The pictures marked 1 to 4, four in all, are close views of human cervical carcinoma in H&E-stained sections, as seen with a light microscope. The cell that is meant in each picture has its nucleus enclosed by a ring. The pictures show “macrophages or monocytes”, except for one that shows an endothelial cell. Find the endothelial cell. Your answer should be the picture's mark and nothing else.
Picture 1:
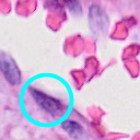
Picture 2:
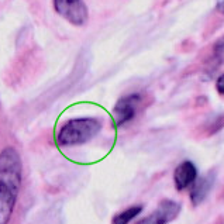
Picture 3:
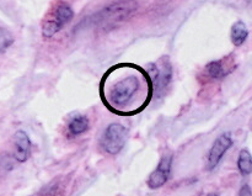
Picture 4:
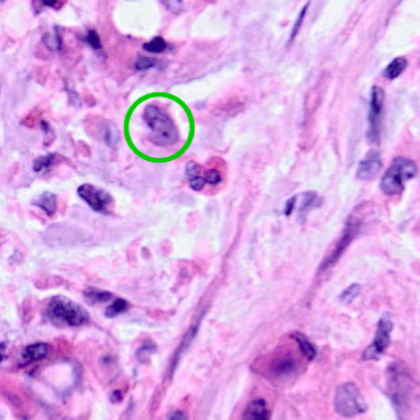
1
